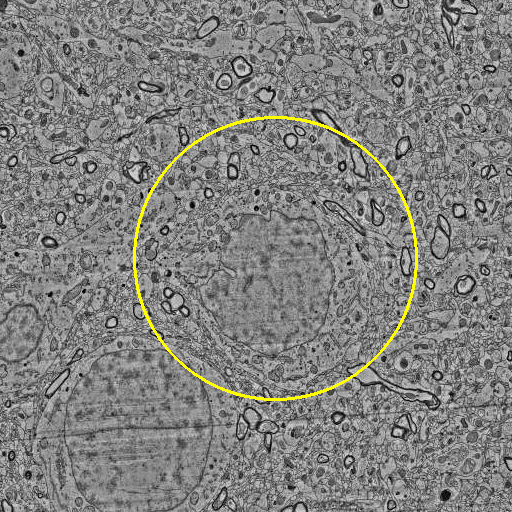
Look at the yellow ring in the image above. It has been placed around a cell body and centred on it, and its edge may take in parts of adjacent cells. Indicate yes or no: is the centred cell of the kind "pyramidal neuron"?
no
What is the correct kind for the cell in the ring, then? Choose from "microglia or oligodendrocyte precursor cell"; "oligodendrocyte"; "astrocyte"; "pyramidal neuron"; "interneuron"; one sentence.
Instead, the picture shows an interneuron at the centre of the ring.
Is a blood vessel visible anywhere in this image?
No, no blood vessel can be seen.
